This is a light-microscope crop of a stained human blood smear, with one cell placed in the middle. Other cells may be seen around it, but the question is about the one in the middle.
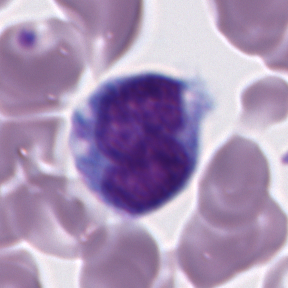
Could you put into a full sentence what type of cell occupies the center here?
As for the cell in the middle, it is a monocyte.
